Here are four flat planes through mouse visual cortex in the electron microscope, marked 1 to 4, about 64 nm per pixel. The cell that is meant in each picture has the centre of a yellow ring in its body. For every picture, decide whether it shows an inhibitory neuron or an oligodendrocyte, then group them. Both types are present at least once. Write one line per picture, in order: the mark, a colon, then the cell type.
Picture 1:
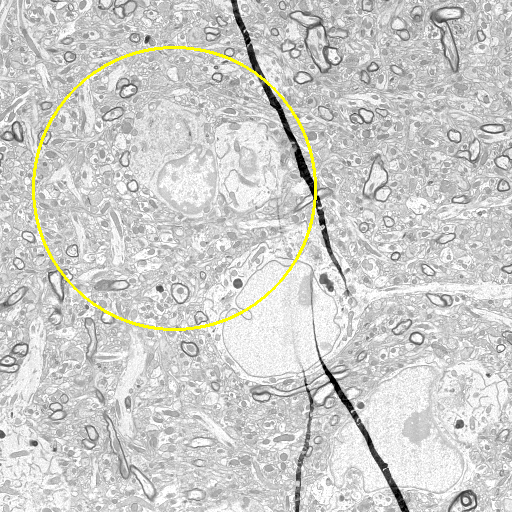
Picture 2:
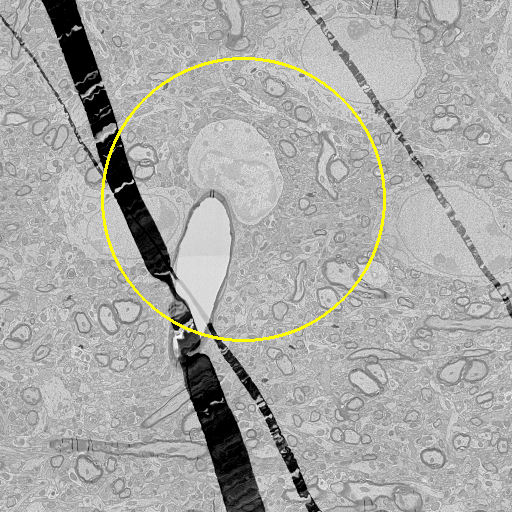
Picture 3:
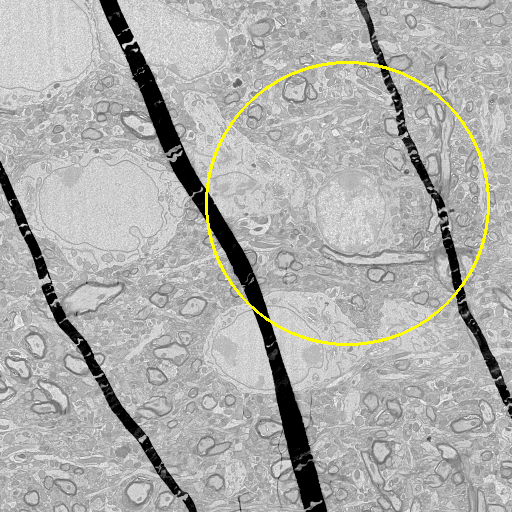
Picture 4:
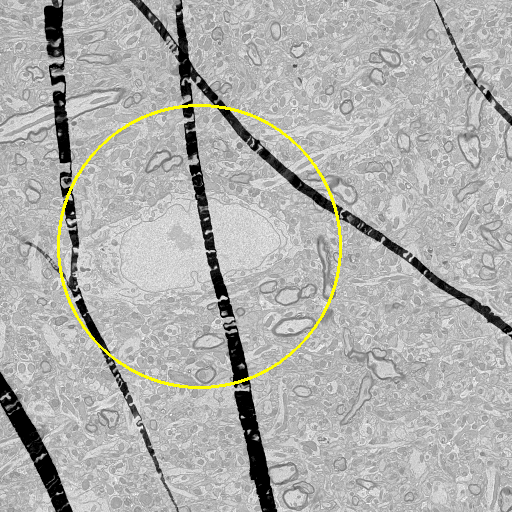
1: oligodendrocyte
2: oligodendrocyte
3: oligodendrocyte
4: inhibitory neuron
